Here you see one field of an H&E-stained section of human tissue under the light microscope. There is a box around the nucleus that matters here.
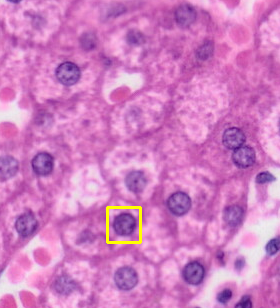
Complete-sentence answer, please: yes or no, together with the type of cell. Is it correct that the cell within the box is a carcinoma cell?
No, the cell within the box is not a carcinoma cell, being instead a hepatocyte.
